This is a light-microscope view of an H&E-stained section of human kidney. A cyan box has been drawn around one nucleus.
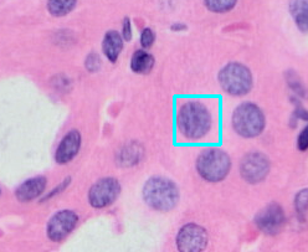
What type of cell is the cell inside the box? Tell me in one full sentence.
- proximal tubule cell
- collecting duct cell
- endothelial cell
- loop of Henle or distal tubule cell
Right, so the cell inside the box is a loop of Henle or distal tubule cell, to answer that.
